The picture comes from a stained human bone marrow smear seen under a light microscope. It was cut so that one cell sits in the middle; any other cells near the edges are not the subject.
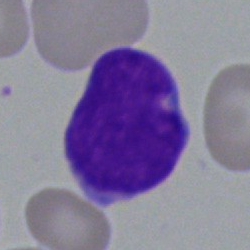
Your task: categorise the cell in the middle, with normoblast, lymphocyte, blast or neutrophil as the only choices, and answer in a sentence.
The middle of this crop holds a blast.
